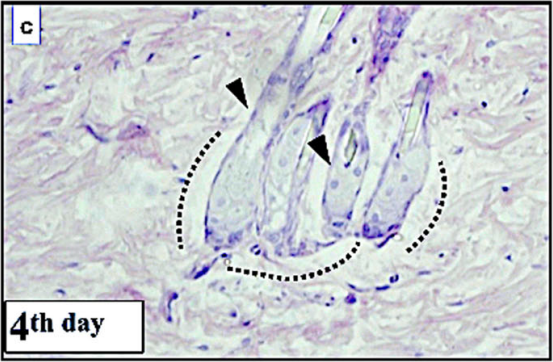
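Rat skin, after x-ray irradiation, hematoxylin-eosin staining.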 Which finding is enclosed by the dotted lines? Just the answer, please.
spaces between sebaceous gland plus hair follicle from the extracellular components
